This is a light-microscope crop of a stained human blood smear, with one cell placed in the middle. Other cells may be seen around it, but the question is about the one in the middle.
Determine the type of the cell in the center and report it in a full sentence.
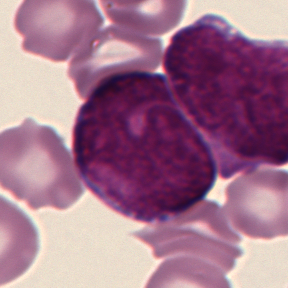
Answering briefly, the cell in the middle is a blast.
